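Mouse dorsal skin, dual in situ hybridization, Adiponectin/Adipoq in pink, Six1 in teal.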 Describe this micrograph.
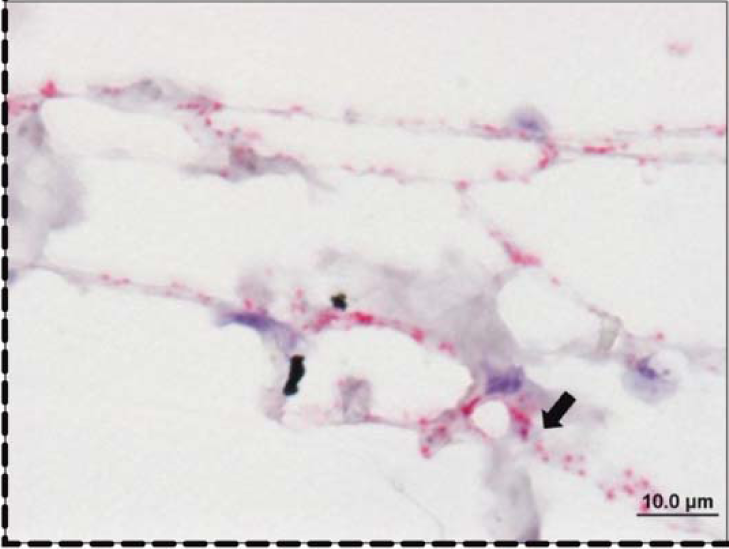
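Fat tissue at high magnification: large adipocytes with empty white interiors fill the field, each bounded by a thin rim of cytoplasm. Fine pink dots line these rims and gather in the narrow spaces where cells meet. Pale purple-grey counterstained strands and a few darker purple elongated nuclei lie between the cells. Scattered small black deposits sit along cell borders. An arrow points to a spot in a cluster of pink dots between cells near the lower right.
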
